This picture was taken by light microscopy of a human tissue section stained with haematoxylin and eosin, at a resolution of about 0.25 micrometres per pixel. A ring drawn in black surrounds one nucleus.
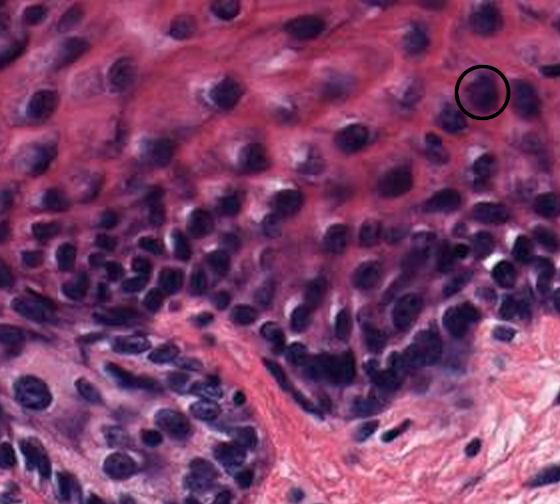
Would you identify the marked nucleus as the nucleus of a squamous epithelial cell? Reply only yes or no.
yes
